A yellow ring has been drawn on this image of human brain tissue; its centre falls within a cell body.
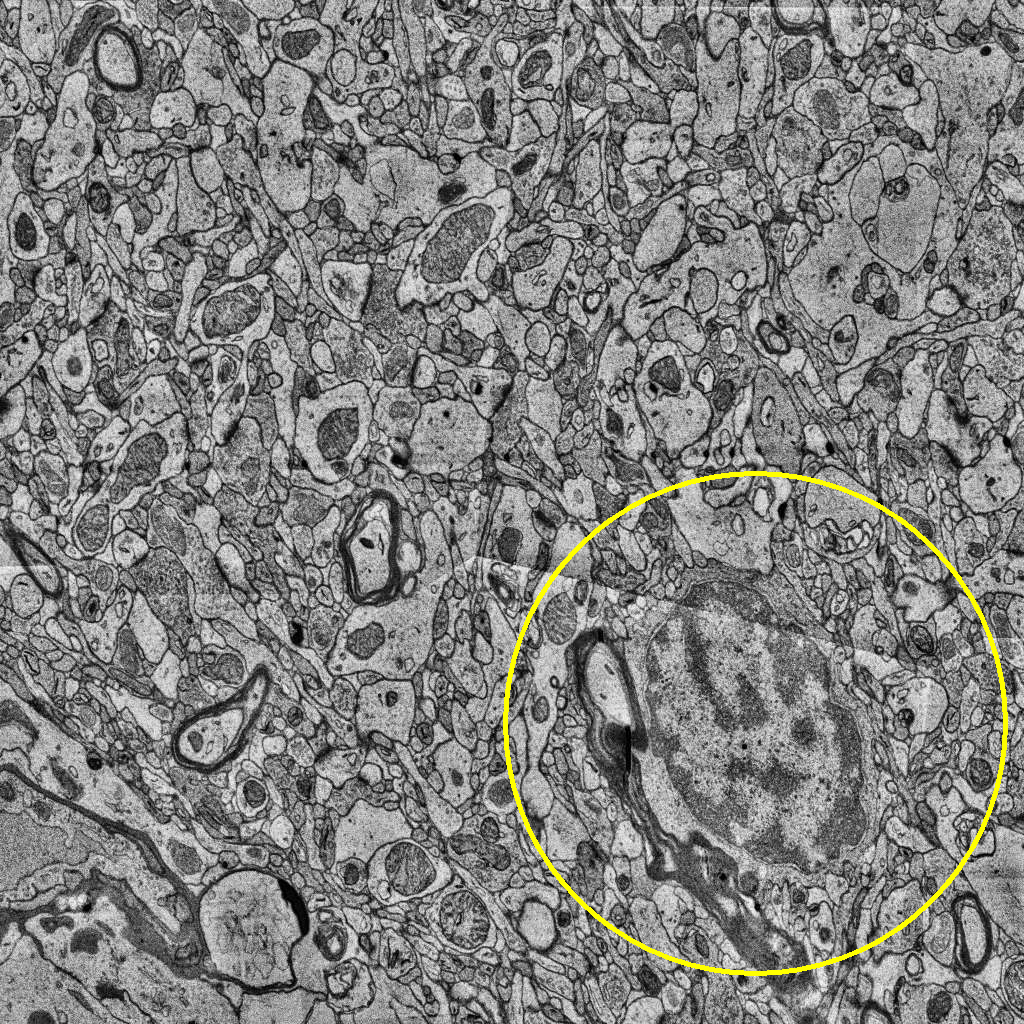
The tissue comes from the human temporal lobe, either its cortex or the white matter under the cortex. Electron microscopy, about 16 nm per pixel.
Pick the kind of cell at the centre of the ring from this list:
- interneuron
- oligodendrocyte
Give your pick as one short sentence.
The centre of the ring holds an oligodendrocyte.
